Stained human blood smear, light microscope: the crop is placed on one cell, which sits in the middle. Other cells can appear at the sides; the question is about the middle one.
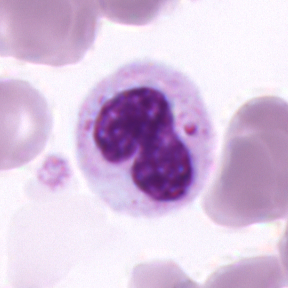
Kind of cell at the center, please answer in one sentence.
At the middle of the frame sits a band neutrophil.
